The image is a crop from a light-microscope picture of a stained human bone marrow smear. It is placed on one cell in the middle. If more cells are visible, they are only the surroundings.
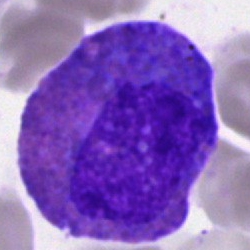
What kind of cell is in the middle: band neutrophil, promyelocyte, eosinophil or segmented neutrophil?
eosinophil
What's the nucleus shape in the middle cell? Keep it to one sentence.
Its nucleus is compact and single, with a round, oval or kidney-shaped form.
